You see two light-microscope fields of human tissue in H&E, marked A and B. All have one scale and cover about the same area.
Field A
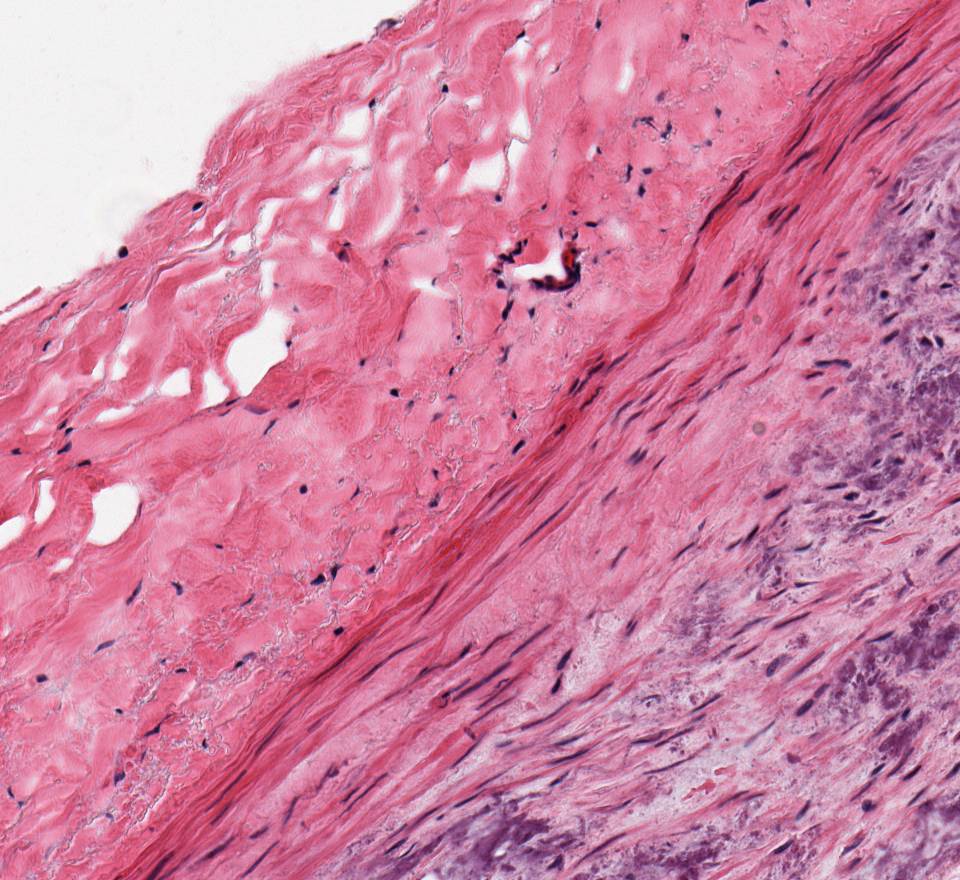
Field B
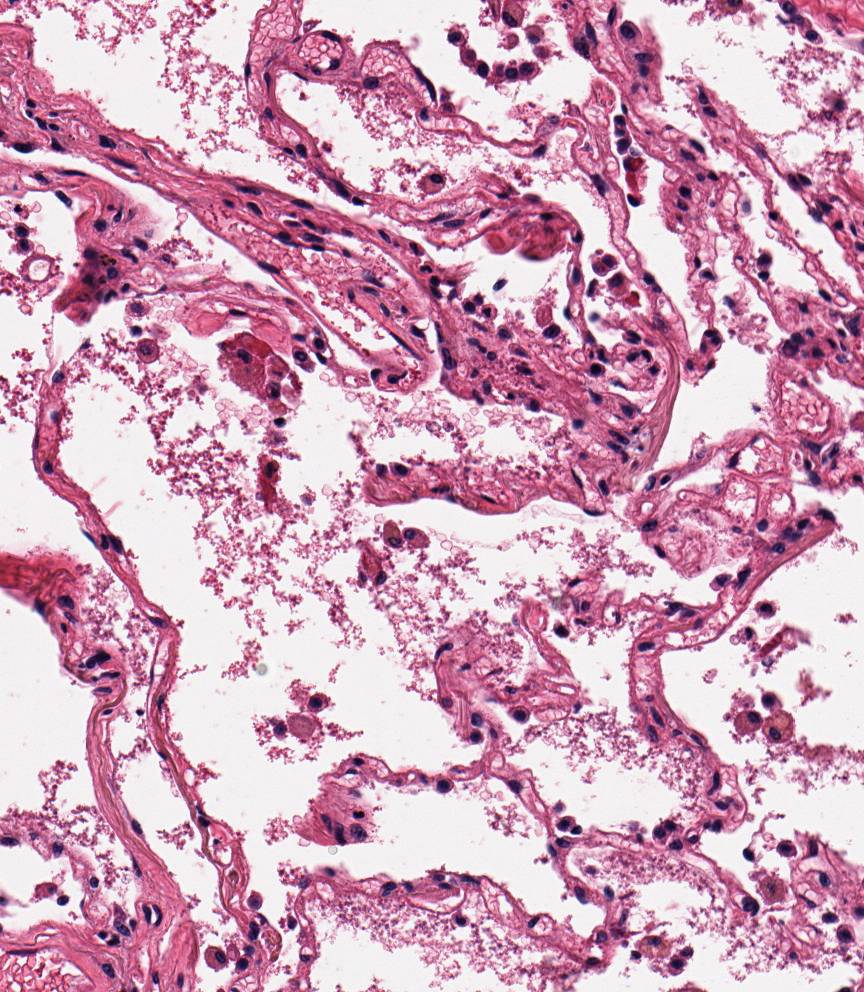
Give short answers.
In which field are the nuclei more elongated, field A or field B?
A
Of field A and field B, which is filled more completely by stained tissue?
A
